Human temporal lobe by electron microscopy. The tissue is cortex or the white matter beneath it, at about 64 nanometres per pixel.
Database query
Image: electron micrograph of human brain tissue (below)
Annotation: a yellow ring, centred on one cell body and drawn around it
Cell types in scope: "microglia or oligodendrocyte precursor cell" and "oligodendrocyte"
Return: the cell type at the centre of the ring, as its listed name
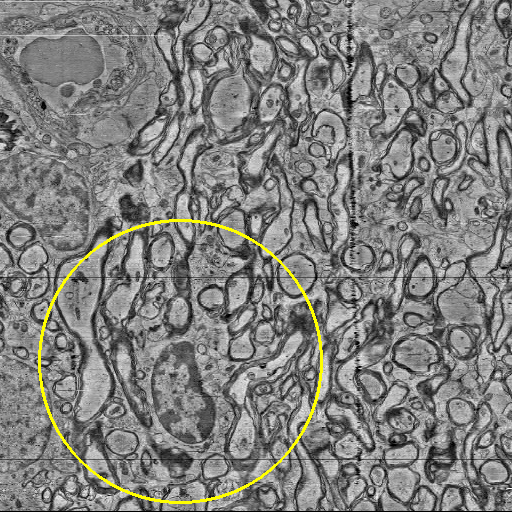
microglia or oligodendrocyte precursor cell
